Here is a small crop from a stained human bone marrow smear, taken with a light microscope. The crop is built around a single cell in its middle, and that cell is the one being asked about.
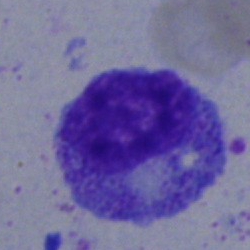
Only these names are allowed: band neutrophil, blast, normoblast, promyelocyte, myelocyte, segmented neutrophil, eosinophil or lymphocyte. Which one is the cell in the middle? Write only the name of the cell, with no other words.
myelocyte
